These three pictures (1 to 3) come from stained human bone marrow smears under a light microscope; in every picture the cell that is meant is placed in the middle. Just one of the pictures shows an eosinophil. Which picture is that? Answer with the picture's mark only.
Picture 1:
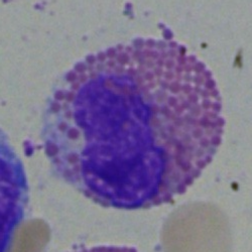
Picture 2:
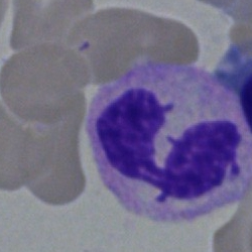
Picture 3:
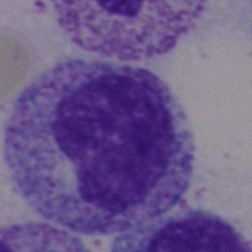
1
